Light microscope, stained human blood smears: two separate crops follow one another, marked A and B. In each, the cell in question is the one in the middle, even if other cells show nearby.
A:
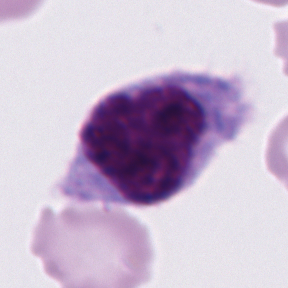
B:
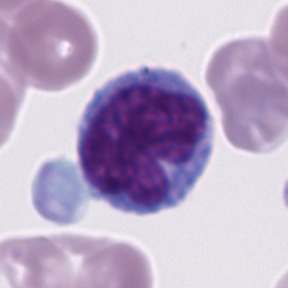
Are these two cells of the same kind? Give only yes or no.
no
